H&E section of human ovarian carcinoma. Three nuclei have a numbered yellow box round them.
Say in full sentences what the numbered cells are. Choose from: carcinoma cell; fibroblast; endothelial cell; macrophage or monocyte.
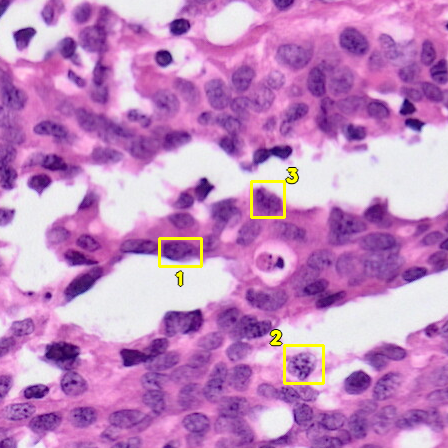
Cell 1 is a carcinoma cell, cell 2 is a macrophage or monocyte and cell 3 is a carcinoma cell.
